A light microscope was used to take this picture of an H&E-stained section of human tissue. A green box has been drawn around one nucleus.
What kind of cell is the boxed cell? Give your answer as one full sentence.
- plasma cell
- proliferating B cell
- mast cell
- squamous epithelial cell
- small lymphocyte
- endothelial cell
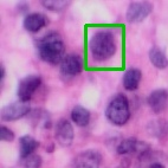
As far as its identity is concerned, the boxed cell is a proliferating B cell.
